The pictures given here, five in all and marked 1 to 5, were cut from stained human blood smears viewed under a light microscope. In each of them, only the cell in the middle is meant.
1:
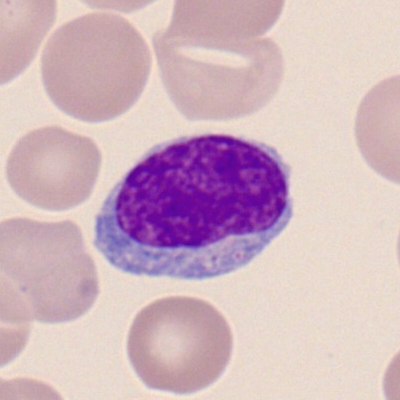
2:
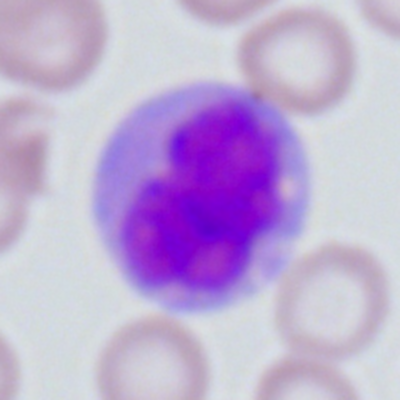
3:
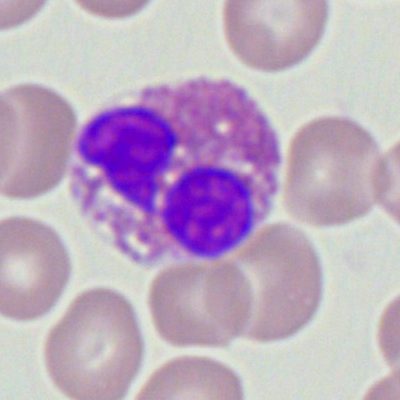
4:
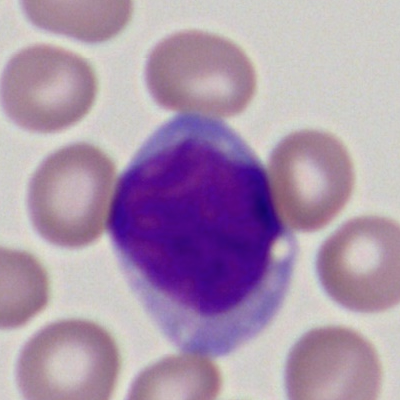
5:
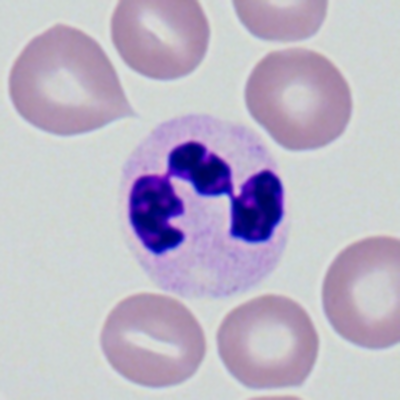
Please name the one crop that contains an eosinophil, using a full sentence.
Of these crops, it is crop 3 that shows an eosinophil.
